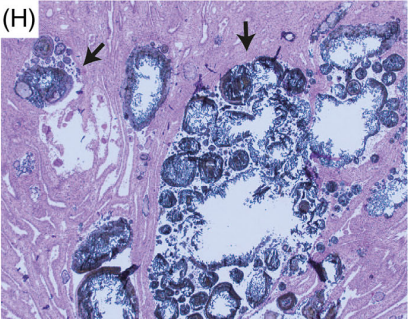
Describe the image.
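Kidney tissue in which several tubules are greatly widened and packed with uroliths. The uroliths are round to oval bodies with concentric, layered, dark grey-purple mineralized rims around paler centres, many lying loose within the dilated spaces. The surrounding renal tissue is pink, with narrow tubules running between the dilated ones.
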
